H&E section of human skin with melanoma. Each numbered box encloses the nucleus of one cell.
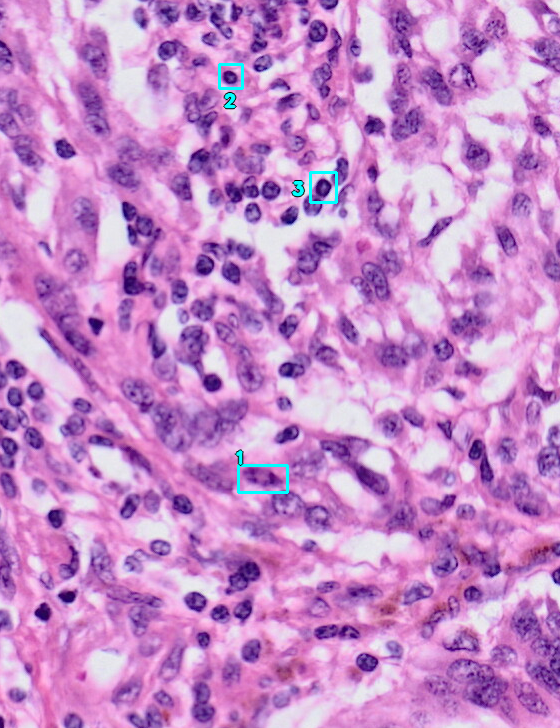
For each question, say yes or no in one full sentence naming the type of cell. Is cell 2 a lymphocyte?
Yes, the cell shown as number 2 is a lymphocyte.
